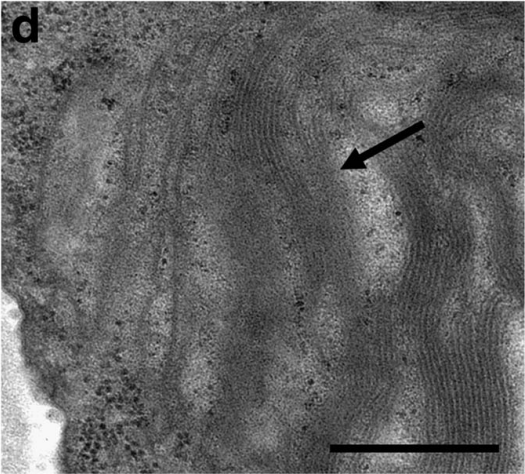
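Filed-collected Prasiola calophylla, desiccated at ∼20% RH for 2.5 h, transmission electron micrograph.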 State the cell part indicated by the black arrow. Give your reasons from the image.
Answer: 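Thylakoid membranes. The arrow points at stacked, closely spaced parallel dark lines. The parallel membranes run in curving bands across the field.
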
